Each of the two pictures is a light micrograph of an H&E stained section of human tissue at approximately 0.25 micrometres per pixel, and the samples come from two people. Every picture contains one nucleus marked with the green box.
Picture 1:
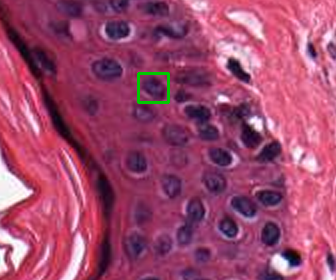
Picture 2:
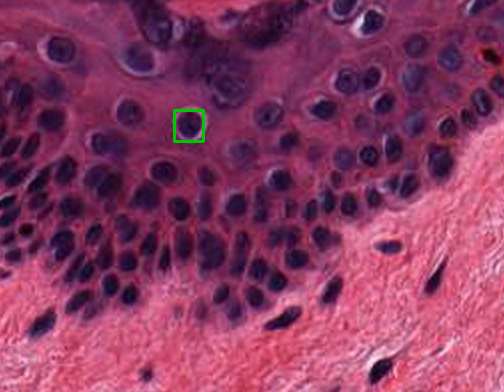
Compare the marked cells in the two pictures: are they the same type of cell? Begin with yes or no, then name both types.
Yes, both are keratinocytes.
